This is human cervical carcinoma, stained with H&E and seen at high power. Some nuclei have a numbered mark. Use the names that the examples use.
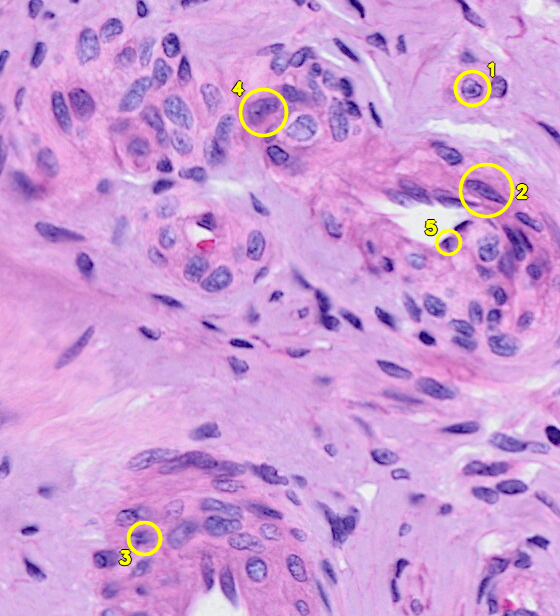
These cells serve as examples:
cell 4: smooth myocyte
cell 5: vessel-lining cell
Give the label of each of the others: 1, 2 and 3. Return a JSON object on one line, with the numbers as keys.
{"1": "vessel-lining cell", "2": "smooth myocyte", "3": "smooth myocyte"}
